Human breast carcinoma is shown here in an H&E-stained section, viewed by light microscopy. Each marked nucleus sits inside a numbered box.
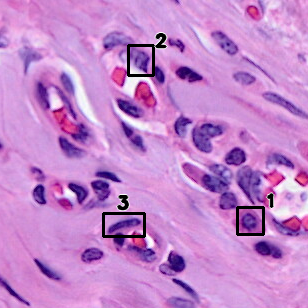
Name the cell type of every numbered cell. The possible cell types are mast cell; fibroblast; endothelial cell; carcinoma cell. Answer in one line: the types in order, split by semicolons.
mast cell; endothelial cell; endothelial cell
